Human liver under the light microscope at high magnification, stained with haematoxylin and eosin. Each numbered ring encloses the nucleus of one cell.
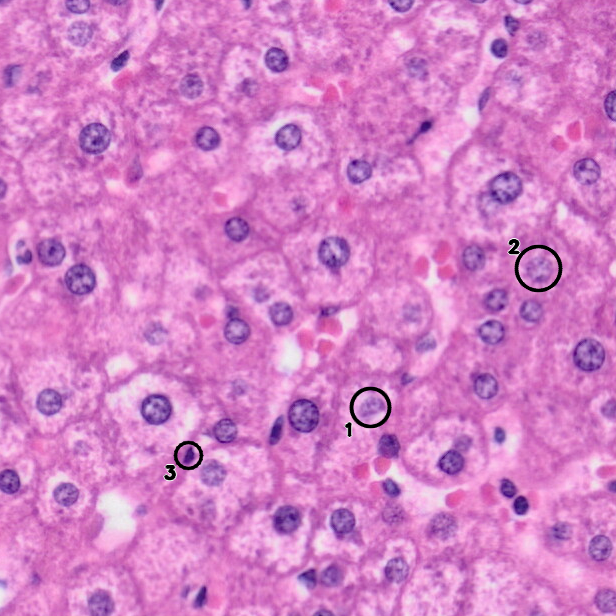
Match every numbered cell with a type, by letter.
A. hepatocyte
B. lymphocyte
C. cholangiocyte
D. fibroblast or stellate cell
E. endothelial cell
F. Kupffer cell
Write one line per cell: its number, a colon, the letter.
1: A
2: A
3: D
